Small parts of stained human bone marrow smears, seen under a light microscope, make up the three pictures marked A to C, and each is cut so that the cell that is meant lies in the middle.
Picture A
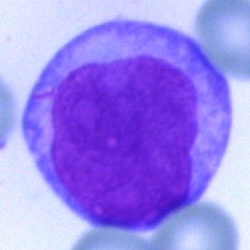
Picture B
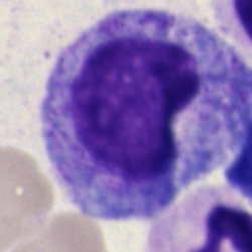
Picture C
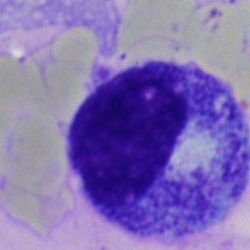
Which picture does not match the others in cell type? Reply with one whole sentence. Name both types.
Picture A is the odd one out: it shows a blast, while the others show promyelocytes.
